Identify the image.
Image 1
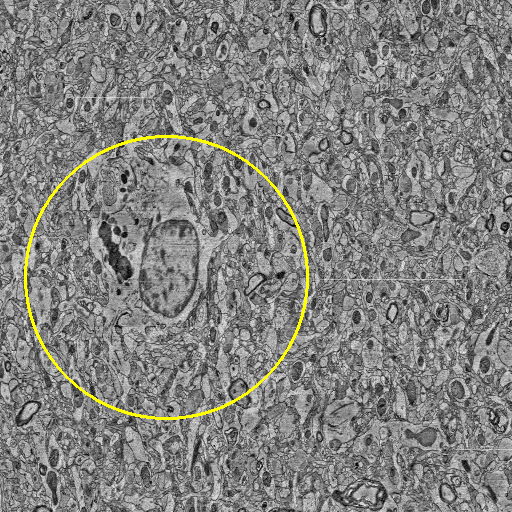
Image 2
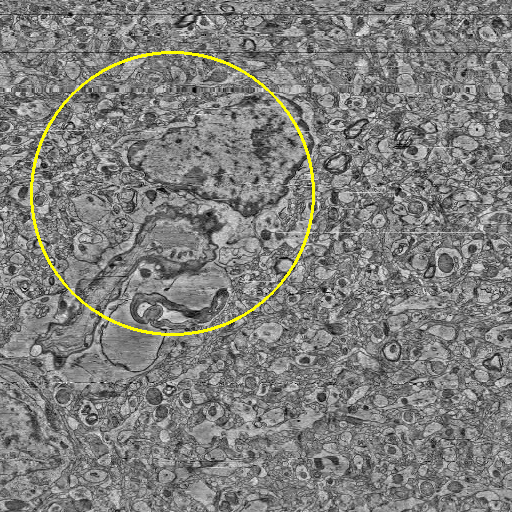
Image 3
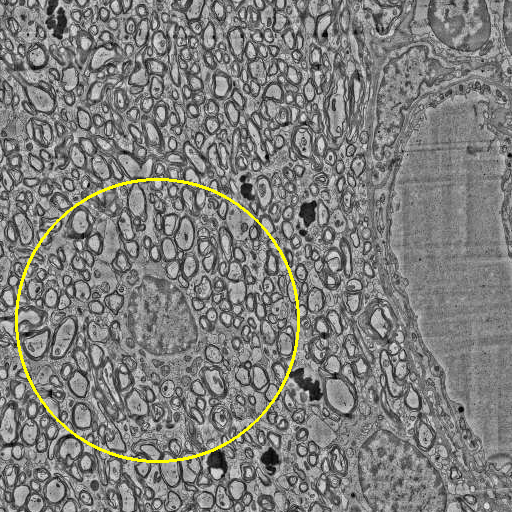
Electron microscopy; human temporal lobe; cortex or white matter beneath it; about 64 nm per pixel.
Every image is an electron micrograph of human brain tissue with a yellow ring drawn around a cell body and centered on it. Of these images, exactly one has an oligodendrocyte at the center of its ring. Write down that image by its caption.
Image 3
